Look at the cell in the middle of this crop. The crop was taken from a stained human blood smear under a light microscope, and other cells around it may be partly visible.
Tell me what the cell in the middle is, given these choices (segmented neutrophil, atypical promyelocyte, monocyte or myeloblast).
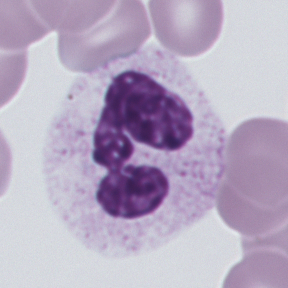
segmented neutrophil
